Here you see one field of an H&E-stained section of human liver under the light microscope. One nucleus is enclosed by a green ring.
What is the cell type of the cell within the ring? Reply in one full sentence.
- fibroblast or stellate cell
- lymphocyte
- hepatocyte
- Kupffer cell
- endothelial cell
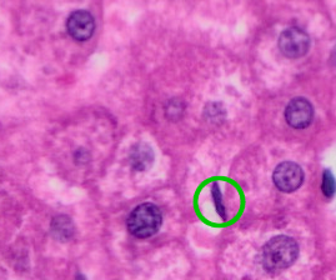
The correct response here is that the cell within the ring is an endothelial cell.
